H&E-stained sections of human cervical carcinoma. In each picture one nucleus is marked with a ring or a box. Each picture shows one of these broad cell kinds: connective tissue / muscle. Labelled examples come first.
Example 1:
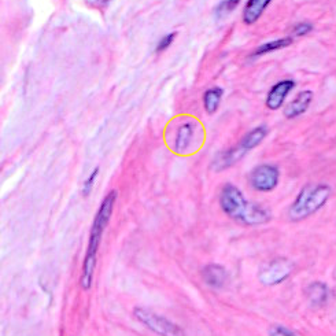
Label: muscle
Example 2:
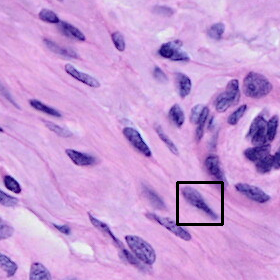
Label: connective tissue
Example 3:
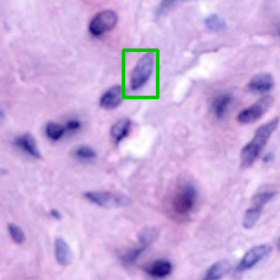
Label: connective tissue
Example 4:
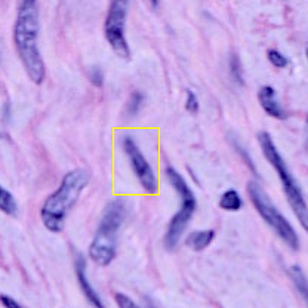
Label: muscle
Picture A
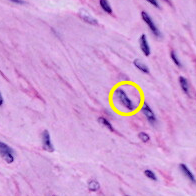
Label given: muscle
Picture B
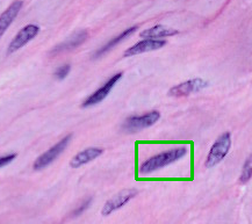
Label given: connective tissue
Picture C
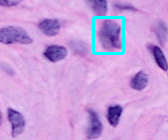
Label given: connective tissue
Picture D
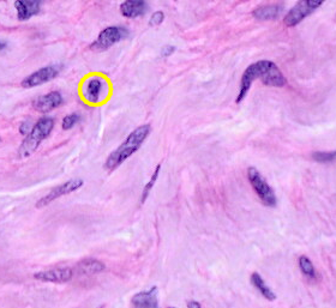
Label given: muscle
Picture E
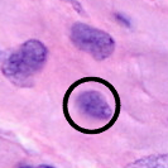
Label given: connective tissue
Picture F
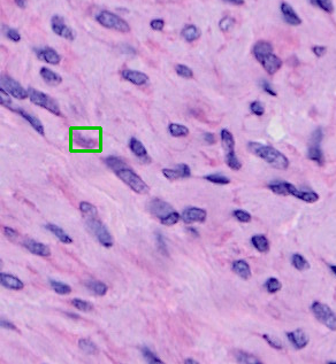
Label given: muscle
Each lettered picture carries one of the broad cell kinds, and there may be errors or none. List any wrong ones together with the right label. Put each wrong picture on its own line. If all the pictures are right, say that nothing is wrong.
None of the labels needs changing.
